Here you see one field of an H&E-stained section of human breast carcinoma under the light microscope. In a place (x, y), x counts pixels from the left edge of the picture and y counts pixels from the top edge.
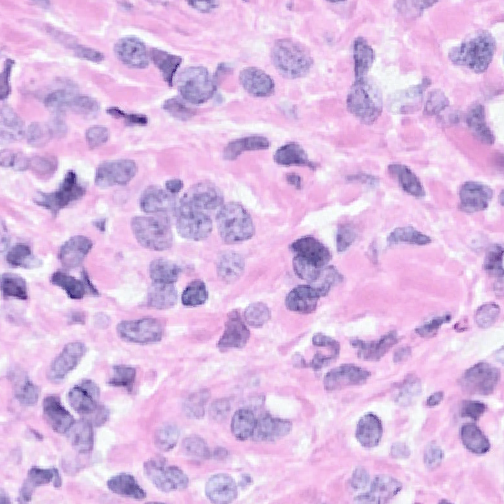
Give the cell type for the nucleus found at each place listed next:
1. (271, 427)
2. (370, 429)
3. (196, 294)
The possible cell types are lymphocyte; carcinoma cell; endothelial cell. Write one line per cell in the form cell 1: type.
cell 1: carcinoma cell
cell 2: carcinoma cell
cell 3: lymphocyte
